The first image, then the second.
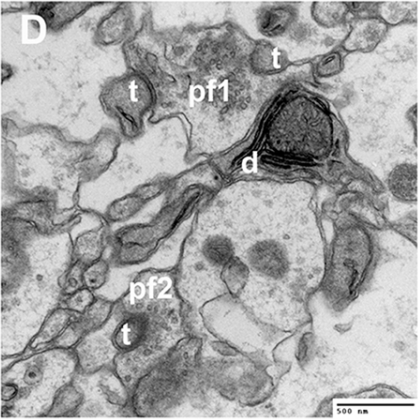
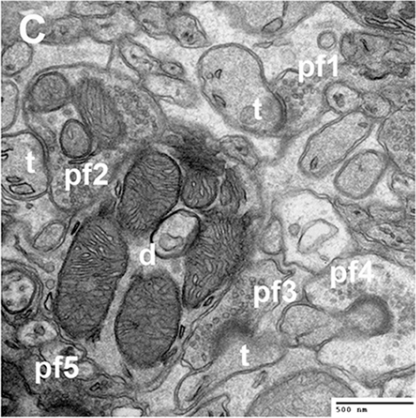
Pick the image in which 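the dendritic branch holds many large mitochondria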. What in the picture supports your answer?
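First image: the dendritic profile holds a single mitochondrion. Second image: a cluster of several large, elongated mitochondria with dense cristae fills the dendritic profile. That points to this answer: the second image.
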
